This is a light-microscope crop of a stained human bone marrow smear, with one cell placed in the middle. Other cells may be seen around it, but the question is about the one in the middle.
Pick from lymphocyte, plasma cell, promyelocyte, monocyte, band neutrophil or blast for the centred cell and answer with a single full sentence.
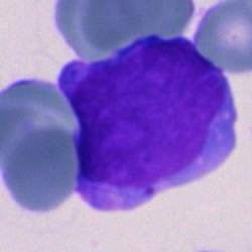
Classification of the middle cell gives a blast.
